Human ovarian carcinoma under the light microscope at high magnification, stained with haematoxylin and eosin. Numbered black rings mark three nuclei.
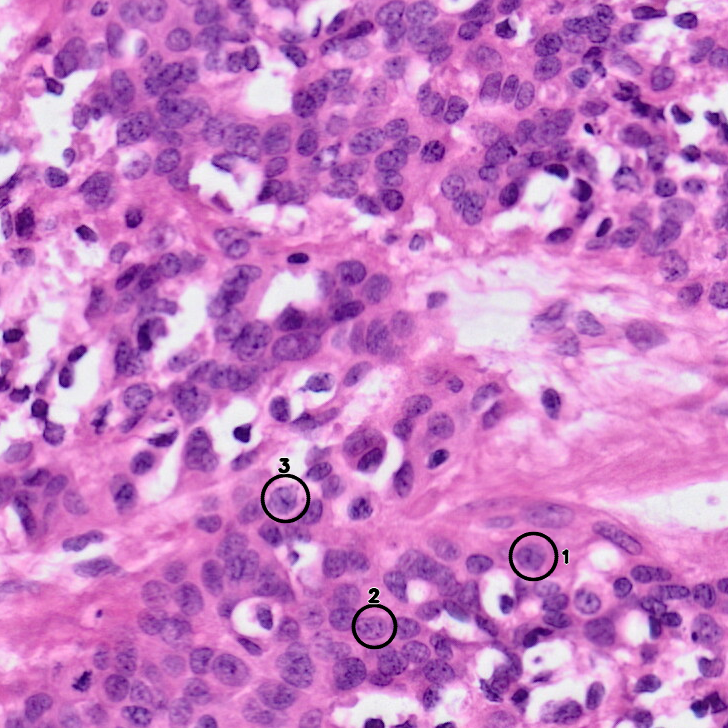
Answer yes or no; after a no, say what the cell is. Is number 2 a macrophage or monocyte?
No, it is a carcinoma cell.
